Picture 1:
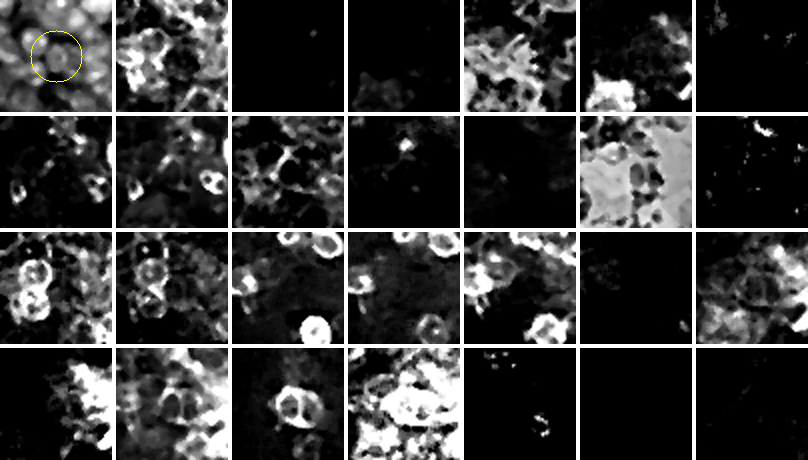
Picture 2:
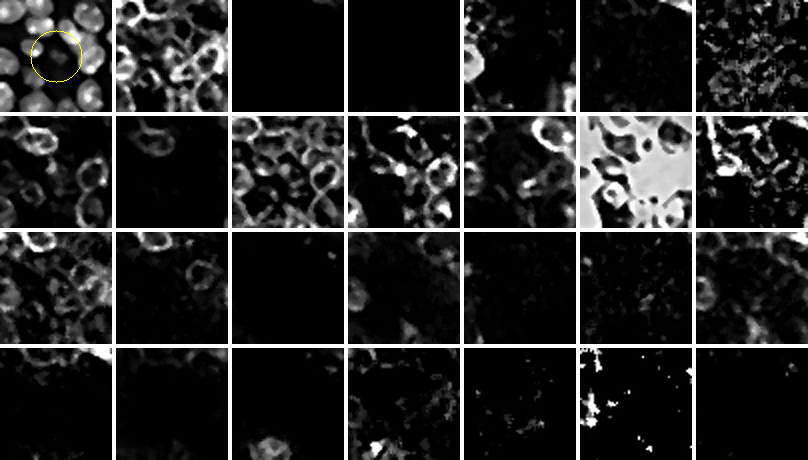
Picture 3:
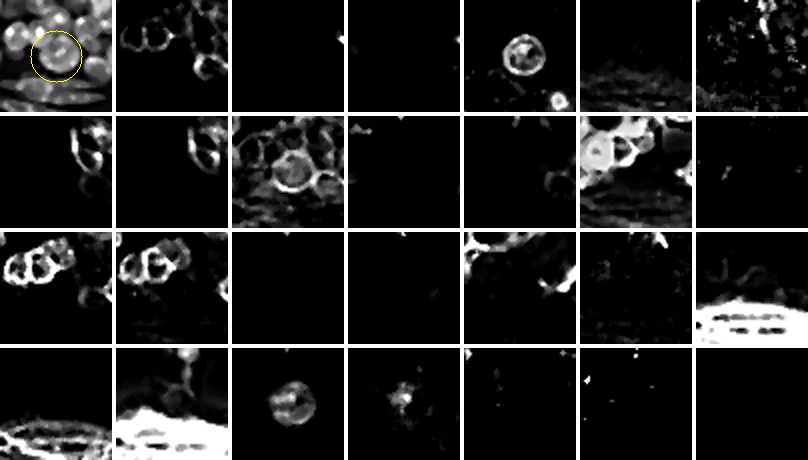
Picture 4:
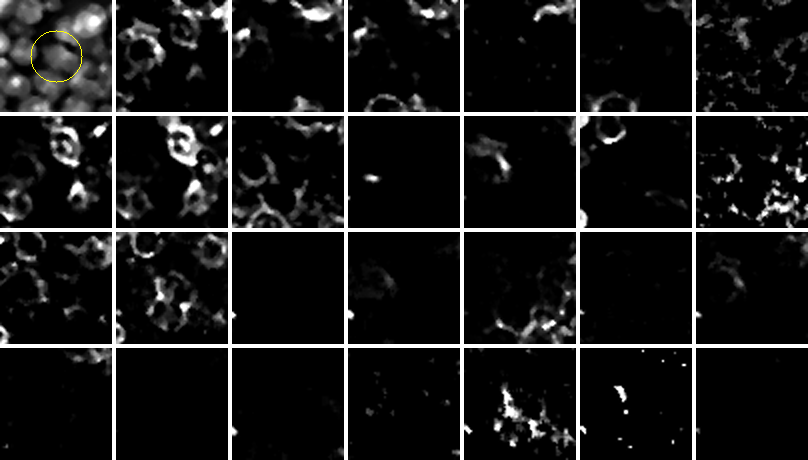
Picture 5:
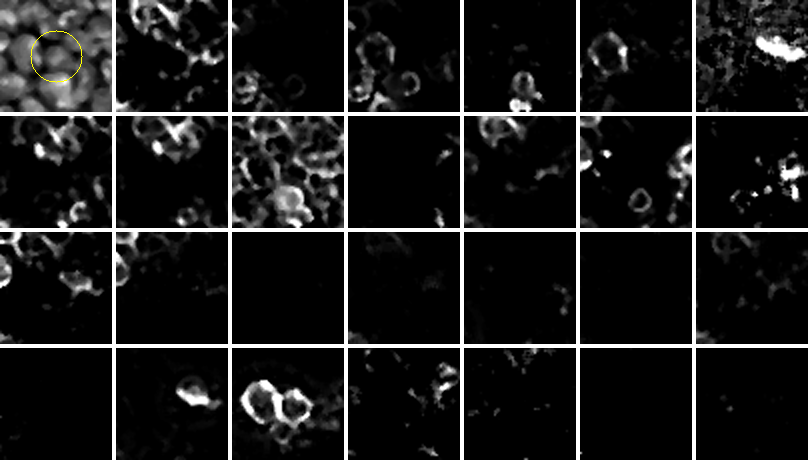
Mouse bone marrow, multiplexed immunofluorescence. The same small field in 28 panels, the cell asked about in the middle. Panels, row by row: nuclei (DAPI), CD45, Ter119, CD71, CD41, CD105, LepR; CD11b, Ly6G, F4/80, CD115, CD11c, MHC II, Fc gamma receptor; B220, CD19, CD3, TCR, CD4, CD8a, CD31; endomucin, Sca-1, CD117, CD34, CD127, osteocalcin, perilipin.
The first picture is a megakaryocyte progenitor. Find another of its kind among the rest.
Picture 3.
